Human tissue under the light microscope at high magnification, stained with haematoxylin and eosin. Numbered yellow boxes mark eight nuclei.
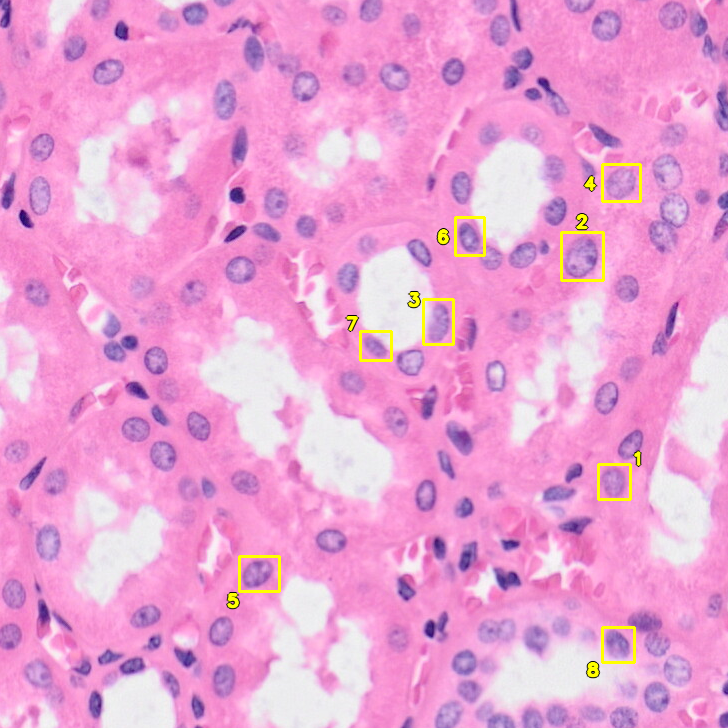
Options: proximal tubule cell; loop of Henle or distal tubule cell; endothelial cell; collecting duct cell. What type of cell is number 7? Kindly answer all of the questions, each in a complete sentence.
The correct label for cell 7 is a loop of Henle or distal tubule cell.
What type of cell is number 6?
The one numbered 6 among the marked cells is a loop of Henle or distal tubule cell.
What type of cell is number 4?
Cell 4 of the marked set is a proximal tubule cell.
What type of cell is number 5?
The mark numbered 5 indicates the nucleus of a proximal tubule cell.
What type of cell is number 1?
The correct label for cell 1 is a proximal tubule cell.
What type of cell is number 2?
Belonging to a proximal tubule cell is the nucleus that carries the number 2.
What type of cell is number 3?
Recognised here as a loop of Henle or distal tubule cell is the cell numbered 3.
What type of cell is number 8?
The cell that is numbered 8 is a collecting duct cell.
